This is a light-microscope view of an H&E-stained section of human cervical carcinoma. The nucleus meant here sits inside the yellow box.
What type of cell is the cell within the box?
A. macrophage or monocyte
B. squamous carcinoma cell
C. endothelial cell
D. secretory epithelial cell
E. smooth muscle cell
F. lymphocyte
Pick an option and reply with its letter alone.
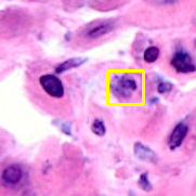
A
